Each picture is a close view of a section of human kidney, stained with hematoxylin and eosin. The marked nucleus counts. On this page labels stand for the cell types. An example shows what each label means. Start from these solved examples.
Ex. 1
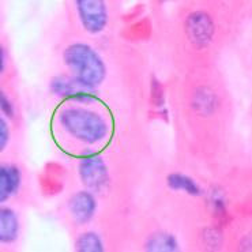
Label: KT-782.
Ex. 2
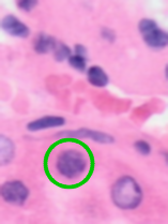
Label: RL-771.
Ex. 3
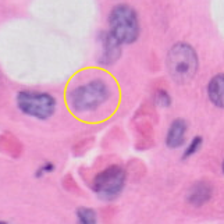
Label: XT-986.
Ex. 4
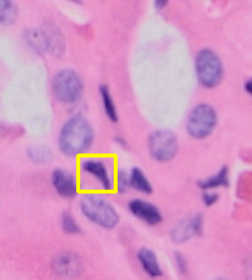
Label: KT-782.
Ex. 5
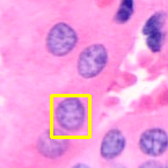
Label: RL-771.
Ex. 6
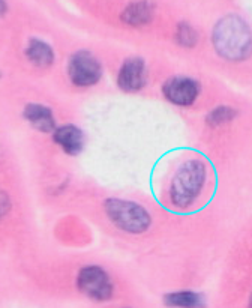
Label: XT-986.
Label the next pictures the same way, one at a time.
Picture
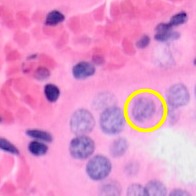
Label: KT-782.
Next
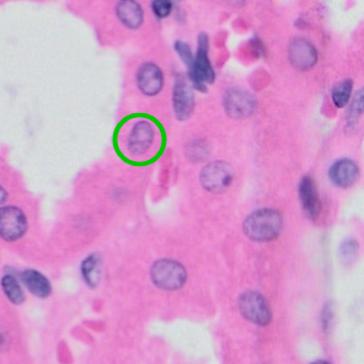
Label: RL-771.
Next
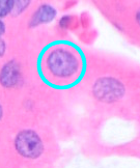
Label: RL-771.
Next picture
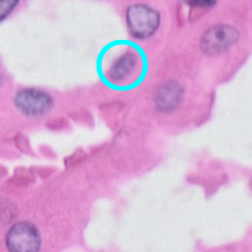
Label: XT-986.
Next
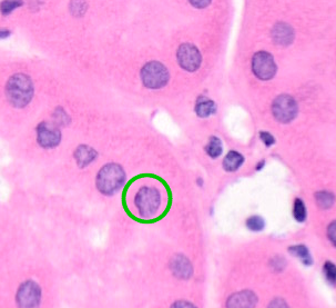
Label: RL-771.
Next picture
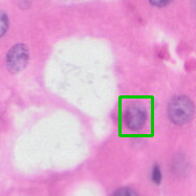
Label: RL-771.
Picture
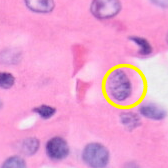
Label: XT-986.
